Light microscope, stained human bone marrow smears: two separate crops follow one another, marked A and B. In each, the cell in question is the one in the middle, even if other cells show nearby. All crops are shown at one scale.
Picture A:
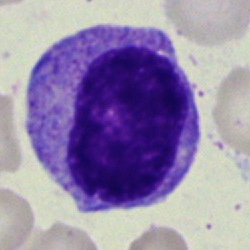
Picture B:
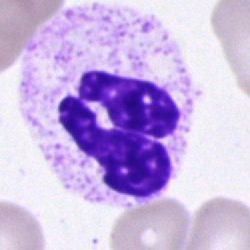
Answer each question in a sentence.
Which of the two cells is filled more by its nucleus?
It is the cell in picture A that is filled more by its nucleus.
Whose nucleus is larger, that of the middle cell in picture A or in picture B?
Picture A shows the larger nucleus; it covers about 1.5 times the area of the nucleus in picture B.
